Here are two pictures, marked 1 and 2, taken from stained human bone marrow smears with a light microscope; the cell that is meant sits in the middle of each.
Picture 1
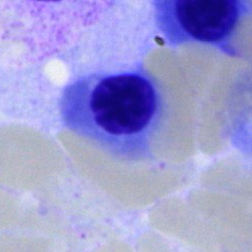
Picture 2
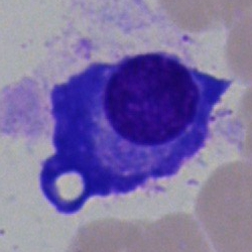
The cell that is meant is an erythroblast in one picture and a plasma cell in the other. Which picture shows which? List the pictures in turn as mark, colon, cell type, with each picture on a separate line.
1: erythroblast
2: plasma cell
